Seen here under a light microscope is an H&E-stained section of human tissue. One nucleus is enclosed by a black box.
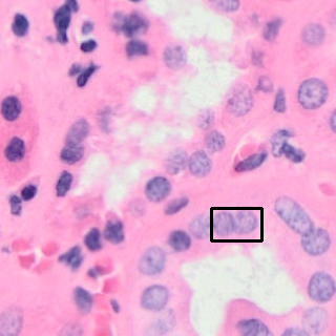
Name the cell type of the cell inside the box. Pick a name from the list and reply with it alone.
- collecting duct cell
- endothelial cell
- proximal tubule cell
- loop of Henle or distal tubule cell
collecting duct cell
